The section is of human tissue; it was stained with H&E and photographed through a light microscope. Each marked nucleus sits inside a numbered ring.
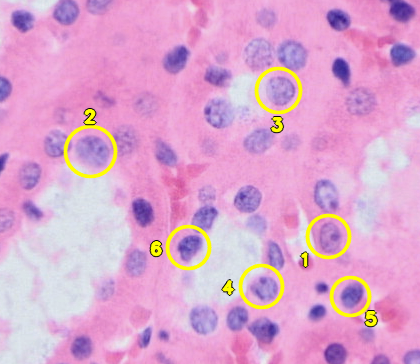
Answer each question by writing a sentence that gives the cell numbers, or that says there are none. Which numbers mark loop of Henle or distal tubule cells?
By cell type, the cells numbered 2, 3, 4 and 6 are loop of Henle or distal tubule cells.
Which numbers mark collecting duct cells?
Checking each numbered cell, none of them turn out to be collecting duct cells.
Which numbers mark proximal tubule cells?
Cell 1 is a proximal tubule cell; no further numbered cell is.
